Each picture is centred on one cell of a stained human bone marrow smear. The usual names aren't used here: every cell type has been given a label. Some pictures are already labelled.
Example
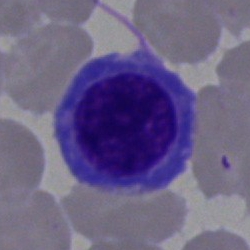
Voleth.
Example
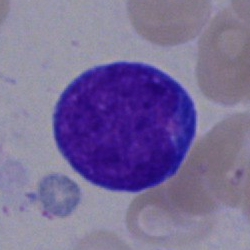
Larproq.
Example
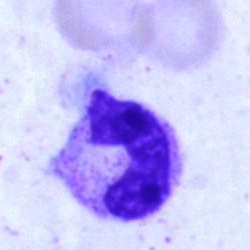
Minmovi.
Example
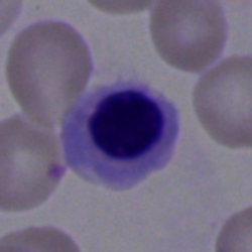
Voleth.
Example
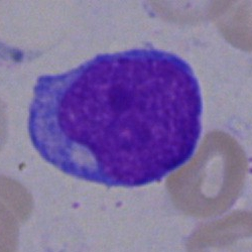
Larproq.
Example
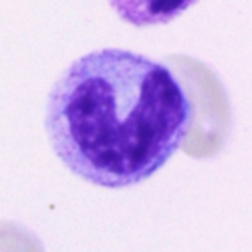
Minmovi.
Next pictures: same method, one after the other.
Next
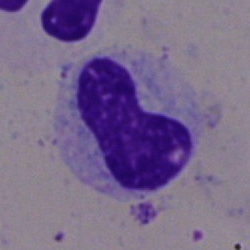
Minmovi.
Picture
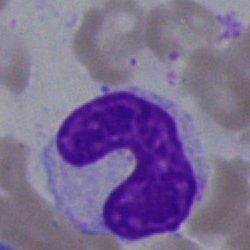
Minmovi.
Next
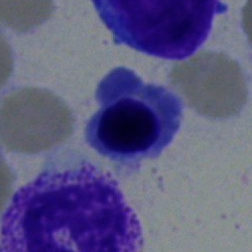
Voleth.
